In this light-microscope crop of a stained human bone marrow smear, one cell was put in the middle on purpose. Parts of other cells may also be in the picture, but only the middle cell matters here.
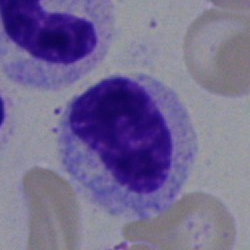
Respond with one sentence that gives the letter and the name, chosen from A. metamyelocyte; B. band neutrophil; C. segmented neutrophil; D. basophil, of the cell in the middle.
The cell centred in the crop is a metamyelocyte, and the correct option is thus A.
